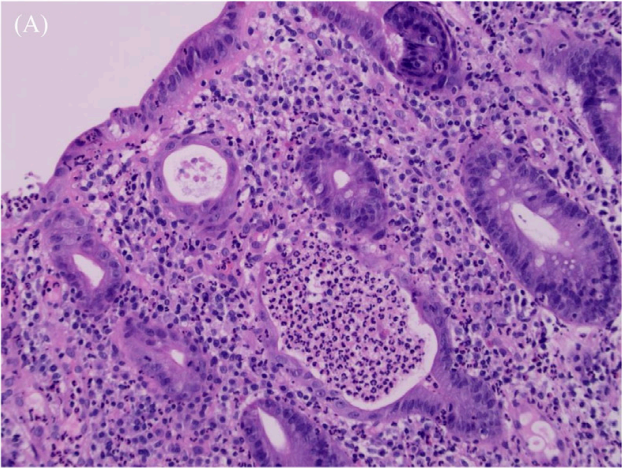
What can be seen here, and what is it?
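This is inflamed colonic mucosa in which the crypts are irregular, widely separated and lined by columnar epithelium with few goblet cells. In the centre one crypt is distended, its thin epithelial lining stretched around a lumen packed with small inflammatory cells, forming a crypt abscess; another crypt near the top also holds cells and debris in its lumen. The lamina propria between the crypts is crowded with a dense mixed infiltrate of round mononuclear cells, lymphocytes and plasma cells, together with neutrophils.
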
